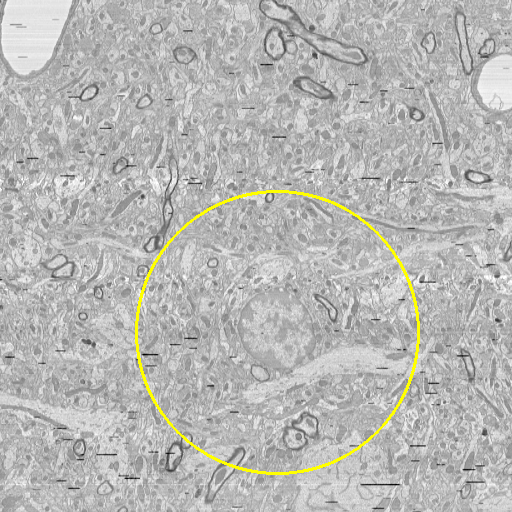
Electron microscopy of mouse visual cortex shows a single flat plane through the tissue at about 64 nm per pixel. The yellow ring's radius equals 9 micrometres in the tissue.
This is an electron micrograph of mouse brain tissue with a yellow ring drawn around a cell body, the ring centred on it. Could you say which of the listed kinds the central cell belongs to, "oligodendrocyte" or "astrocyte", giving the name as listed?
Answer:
oligodendrocyte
